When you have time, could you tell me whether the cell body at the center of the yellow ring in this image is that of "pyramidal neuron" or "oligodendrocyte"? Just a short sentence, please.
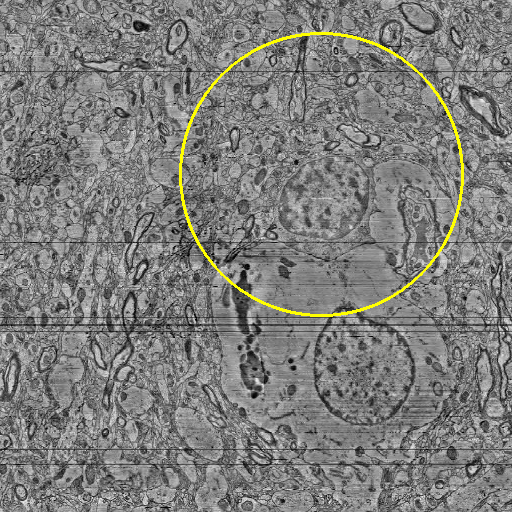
The cell body at the center of the ring is that of an oligodendrocyte.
